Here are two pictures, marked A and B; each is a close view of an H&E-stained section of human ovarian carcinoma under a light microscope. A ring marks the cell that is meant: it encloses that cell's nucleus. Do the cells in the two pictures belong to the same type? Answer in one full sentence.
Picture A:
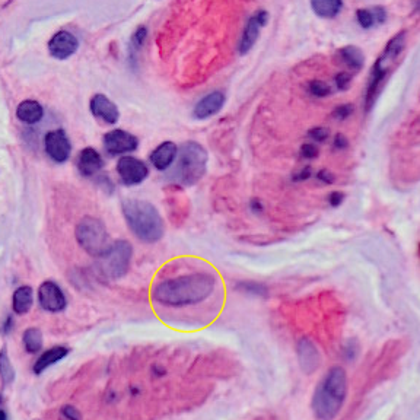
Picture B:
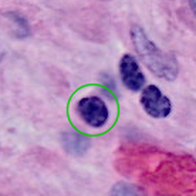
No. Picture A shows an endothelial cell, but picture B shows a lymphocyte.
